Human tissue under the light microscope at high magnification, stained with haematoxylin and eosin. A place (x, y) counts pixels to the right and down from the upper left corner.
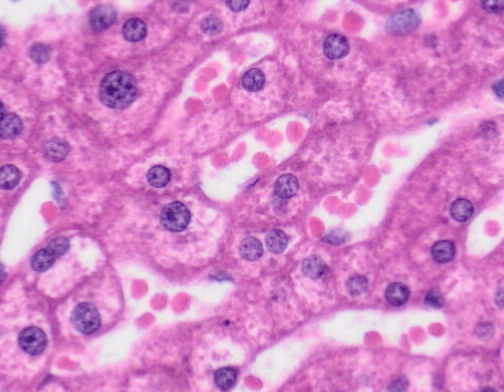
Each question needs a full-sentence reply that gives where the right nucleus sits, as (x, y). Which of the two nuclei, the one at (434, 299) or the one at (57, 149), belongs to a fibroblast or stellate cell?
The nucleus at (434, 299) belongs to a fibroblast or stellate cell, which distinguishes it from the other nucleus.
